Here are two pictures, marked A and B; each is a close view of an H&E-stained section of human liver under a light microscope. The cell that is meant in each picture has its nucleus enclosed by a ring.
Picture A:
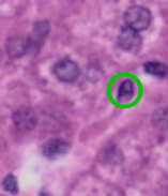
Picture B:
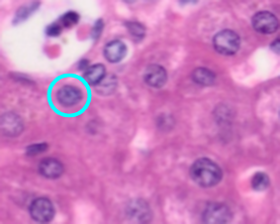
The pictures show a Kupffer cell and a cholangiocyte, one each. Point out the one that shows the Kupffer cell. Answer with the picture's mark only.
A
